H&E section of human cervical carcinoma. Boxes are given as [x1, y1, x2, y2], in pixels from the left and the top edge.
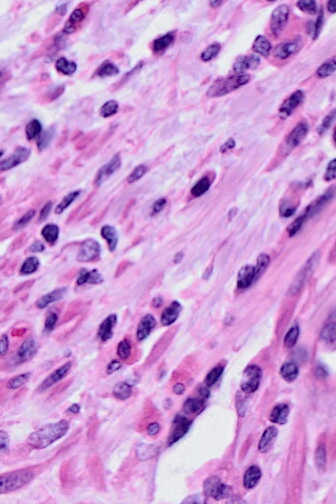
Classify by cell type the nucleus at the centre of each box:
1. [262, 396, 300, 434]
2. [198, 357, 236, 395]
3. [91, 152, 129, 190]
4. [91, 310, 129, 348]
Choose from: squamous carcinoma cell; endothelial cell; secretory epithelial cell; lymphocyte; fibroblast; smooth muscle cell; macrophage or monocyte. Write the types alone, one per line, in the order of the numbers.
lymphocyte
lymphocyte
fibroblast
lymphocyte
